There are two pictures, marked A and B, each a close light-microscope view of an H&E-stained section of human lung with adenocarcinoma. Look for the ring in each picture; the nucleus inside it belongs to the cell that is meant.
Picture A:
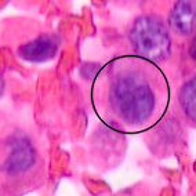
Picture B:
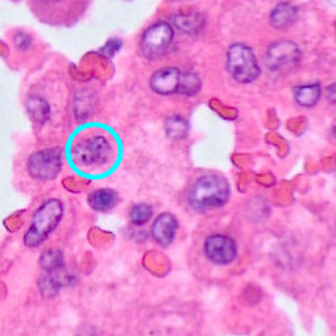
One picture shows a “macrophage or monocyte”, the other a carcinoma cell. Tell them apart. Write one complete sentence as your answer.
It is picture A that shows a carcinoma cell, and picture B that shows a “macrophage or monocyte”.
